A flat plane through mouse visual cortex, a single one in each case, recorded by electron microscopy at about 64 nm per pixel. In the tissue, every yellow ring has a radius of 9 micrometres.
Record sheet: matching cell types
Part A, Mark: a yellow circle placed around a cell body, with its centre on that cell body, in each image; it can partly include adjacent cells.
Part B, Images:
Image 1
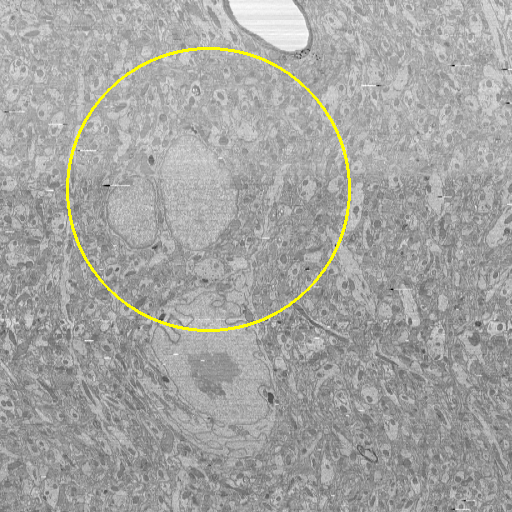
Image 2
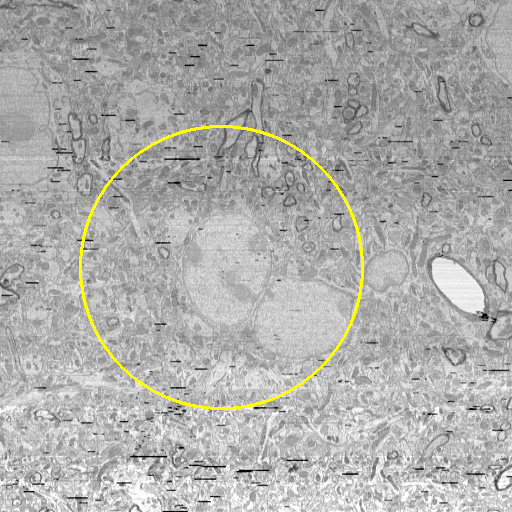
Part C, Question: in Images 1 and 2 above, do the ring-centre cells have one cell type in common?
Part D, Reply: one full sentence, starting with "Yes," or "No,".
Yes, the ring-centre cells of Image 1 and Image 2 are both of a single cell type.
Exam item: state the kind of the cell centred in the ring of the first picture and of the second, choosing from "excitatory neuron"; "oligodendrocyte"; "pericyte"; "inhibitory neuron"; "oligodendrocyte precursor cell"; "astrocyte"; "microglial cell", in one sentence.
In the first picture and in the second, the ring is centred on an astrocyte.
